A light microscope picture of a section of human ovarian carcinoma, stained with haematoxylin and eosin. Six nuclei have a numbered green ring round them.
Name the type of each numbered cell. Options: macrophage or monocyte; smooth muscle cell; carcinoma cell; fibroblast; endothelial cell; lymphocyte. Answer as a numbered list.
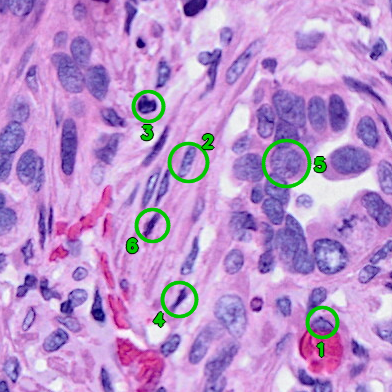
1. endothelial cell
2. fibroblast
3. lymphocyte
4. fibroblast
5. carcinoma cell
6. fibroblast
